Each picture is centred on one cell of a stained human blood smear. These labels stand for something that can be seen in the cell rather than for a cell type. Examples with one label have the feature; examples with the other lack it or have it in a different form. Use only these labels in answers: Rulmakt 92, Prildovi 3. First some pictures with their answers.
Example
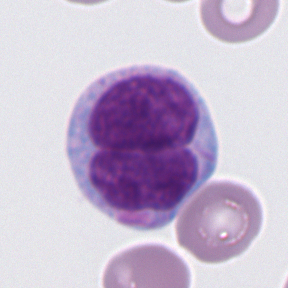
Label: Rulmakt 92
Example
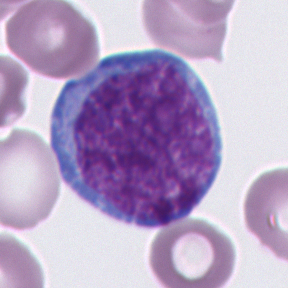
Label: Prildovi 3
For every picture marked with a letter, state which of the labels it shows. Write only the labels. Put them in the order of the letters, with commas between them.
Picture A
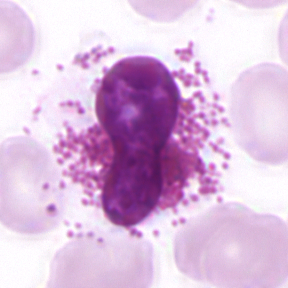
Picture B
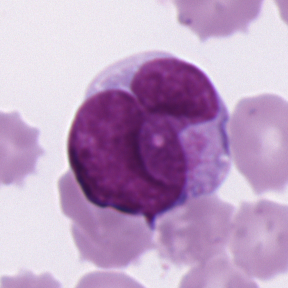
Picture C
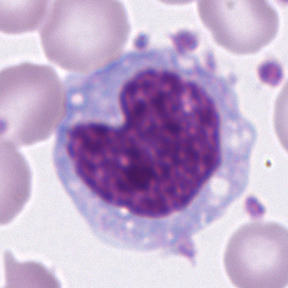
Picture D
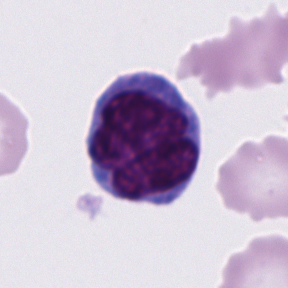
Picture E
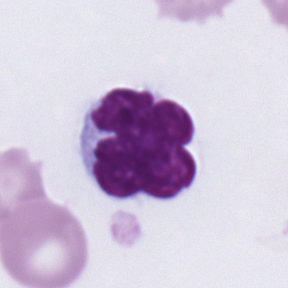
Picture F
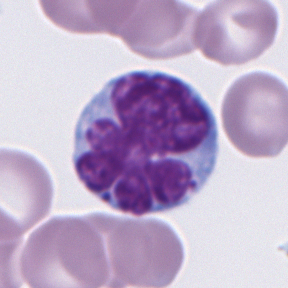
Rulmakt 92, Rulmakt 92, Prildovi 3, Rulmakt 92, Rulmakt 92, Rulmakt 92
